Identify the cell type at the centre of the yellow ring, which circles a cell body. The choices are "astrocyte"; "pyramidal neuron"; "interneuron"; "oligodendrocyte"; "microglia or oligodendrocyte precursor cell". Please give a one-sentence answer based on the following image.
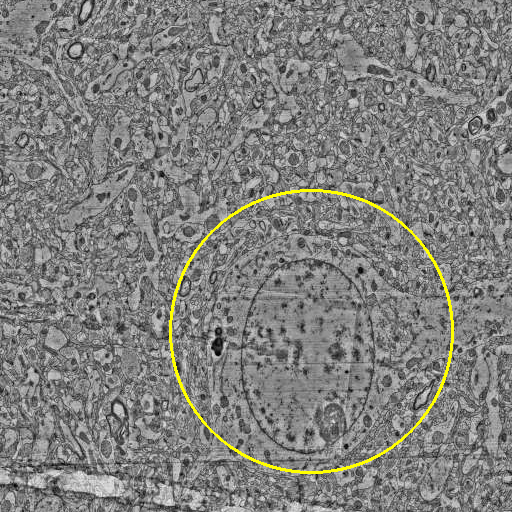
The cell marked by the ring is a pyramidal neuron.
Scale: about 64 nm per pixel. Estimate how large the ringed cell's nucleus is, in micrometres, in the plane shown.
About 12 micrometres by about 9 micrometres in this plane.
